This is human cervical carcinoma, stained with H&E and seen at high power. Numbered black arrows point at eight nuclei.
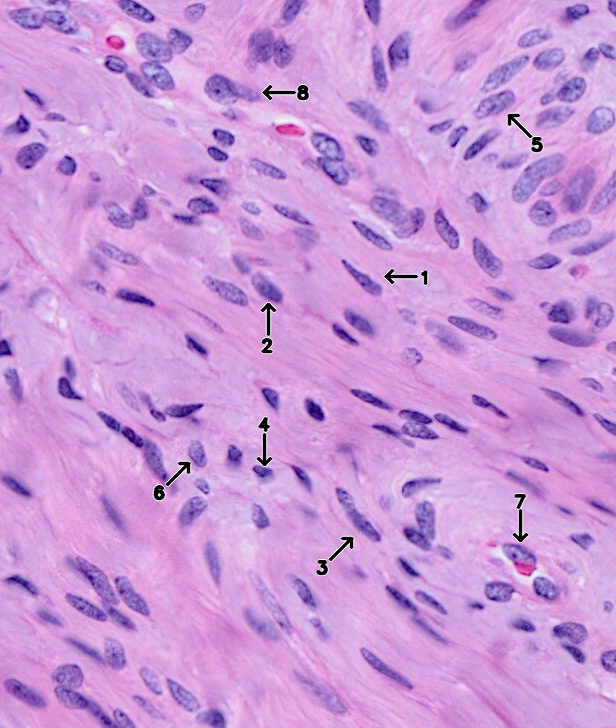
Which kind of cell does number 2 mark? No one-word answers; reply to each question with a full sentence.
The cell that is numbered 2 is a fibroblast.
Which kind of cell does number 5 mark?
The cell marked with number 5 is a smooth muscle cell.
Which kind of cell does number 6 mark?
What the number 6 marks in this field is a fibroblast.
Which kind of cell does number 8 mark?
The marked cell with the number 8 is recognised as an endothelial cell.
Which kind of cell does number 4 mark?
The one labeled 4 is a fibroblast, to put it simply.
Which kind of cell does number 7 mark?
The label 7 in this section denotes an endothelial cell.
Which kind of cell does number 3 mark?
The marked cell with the number 3 is recognised as a fibroblast.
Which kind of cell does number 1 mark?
Cell 1 in the field of view is a fibroblast.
